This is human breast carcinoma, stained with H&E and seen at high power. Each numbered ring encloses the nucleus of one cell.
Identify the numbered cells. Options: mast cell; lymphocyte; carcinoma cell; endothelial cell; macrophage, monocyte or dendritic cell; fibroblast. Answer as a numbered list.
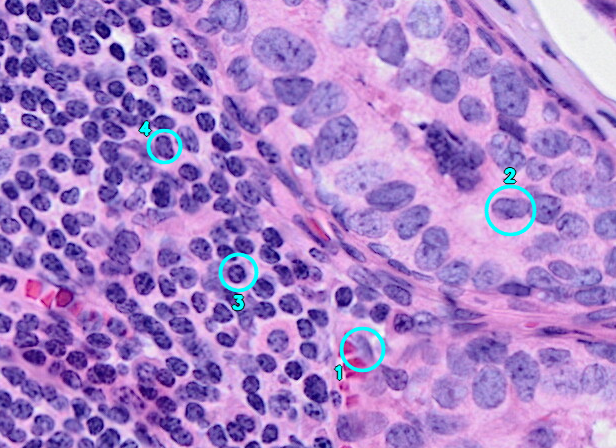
1. endothelial cell
2. carcinoma cell
3. lymphocyte
4. lymphocyte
